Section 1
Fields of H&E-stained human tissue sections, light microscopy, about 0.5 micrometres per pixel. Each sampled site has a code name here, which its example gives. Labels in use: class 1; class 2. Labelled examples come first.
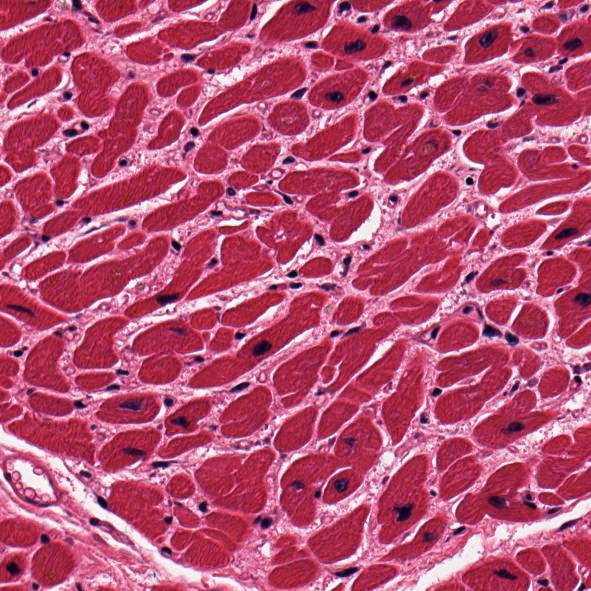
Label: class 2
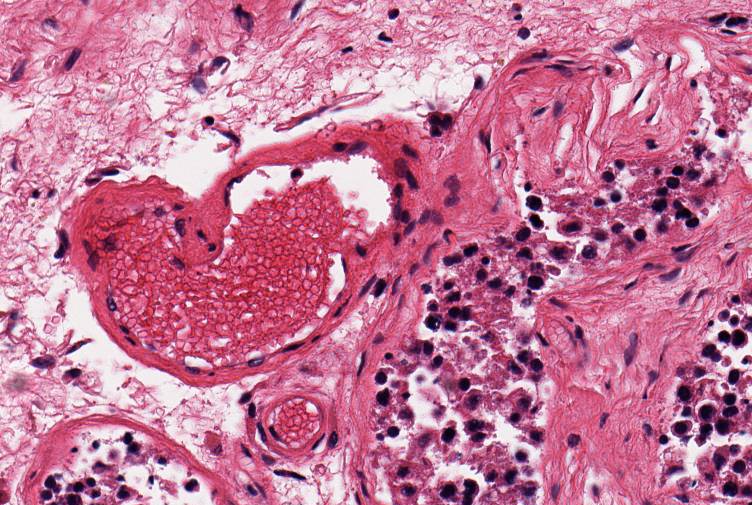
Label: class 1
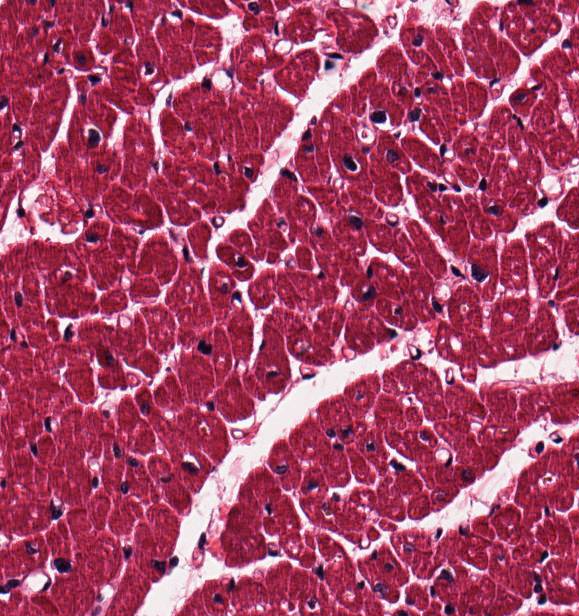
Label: class 2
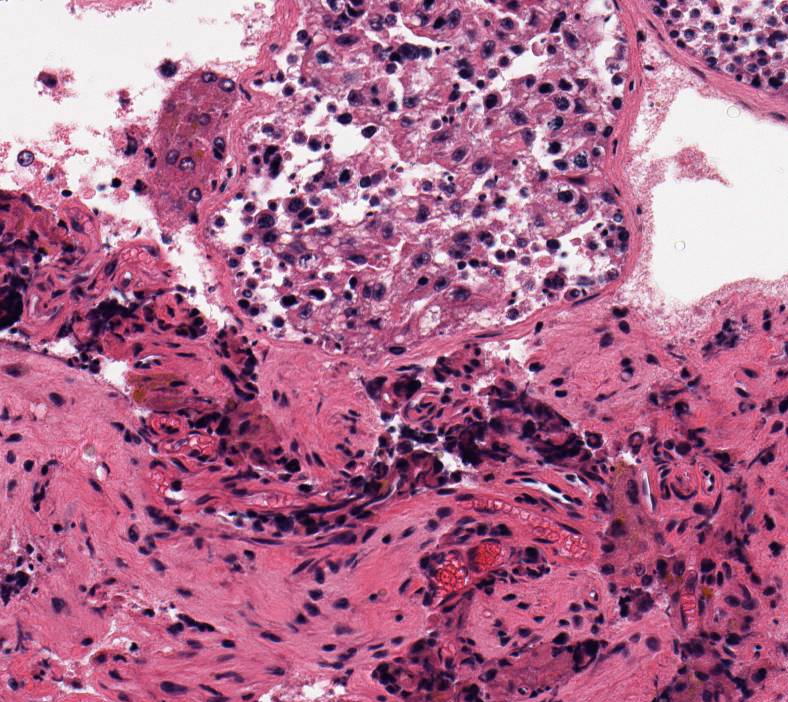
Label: class 1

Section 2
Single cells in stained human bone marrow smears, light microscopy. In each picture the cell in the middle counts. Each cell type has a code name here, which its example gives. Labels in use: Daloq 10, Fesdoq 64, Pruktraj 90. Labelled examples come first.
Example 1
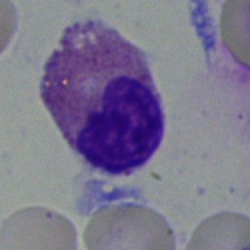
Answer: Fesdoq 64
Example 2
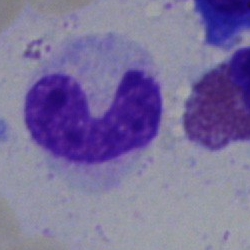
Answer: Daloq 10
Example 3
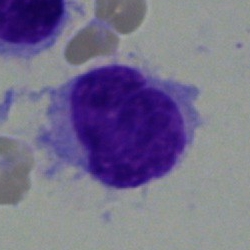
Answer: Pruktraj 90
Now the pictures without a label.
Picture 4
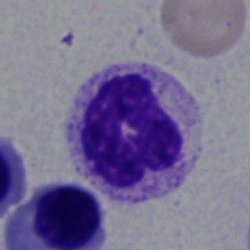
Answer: Daloq 10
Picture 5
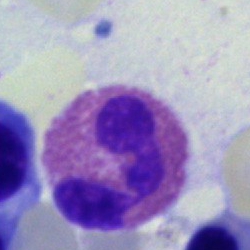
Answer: Fesdoq 64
